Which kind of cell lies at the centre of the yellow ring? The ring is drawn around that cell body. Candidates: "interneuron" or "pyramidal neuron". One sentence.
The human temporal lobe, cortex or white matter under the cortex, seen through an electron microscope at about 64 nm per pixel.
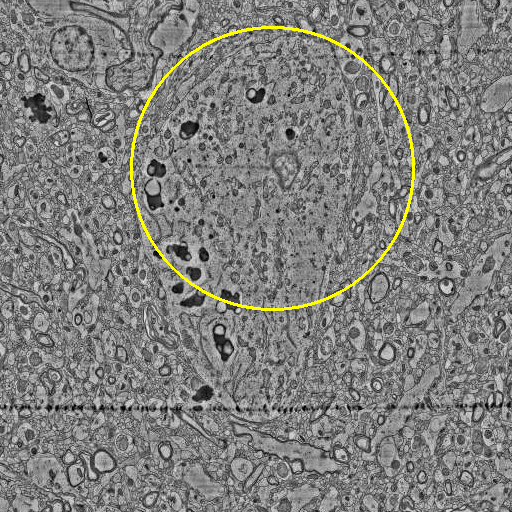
Lying at the centre of the ring is a pyramidal neuron.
